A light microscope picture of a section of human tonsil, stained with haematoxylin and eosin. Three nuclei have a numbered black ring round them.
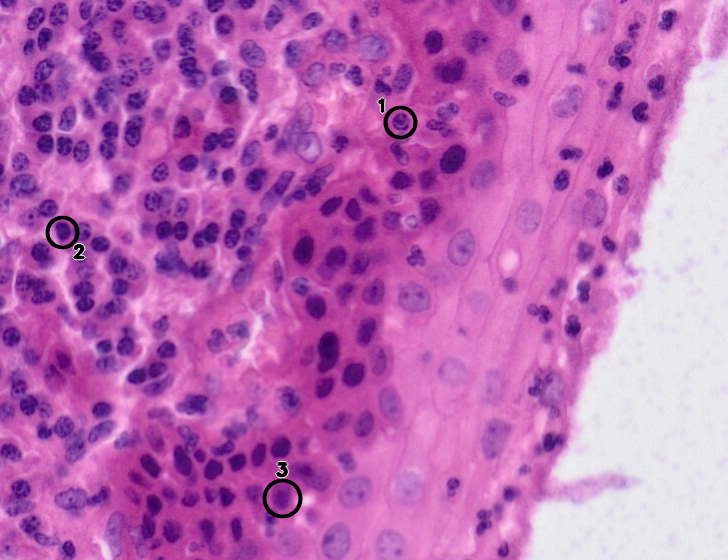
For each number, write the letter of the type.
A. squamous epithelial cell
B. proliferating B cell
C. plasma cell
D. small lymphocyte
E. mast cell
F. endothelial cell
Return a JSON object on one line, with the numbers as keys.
{"1": "C", "2": "C", "3": "A"}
